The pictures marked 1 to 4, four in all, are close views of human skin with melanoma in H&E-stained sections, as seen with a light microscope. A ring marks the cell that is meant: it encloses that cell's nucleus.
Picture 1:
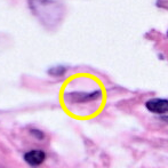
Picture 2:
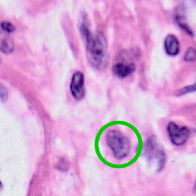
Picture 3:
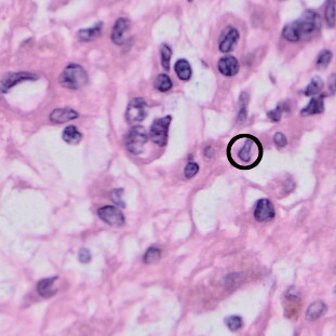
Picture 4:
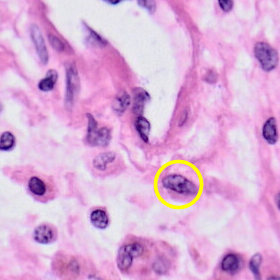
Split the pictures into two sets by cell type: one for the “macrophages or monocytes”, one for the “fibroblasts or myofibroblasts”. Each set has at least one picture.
1: fibroblast or myofibroblast
2: macrophage or monocyte
3: macrophage or monocyte
4: macrophage or monocyte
